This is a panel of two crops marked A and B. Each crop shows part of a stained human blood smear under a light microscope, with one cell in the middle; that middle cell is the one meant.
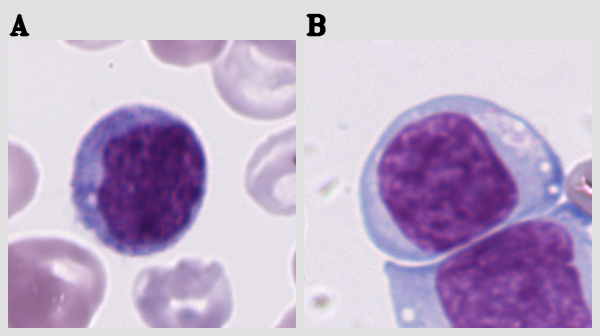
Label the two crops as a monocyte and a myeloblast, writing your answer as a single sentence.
The cell at the middle is a monocyte in crop A, but a myeloblast in crop B.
